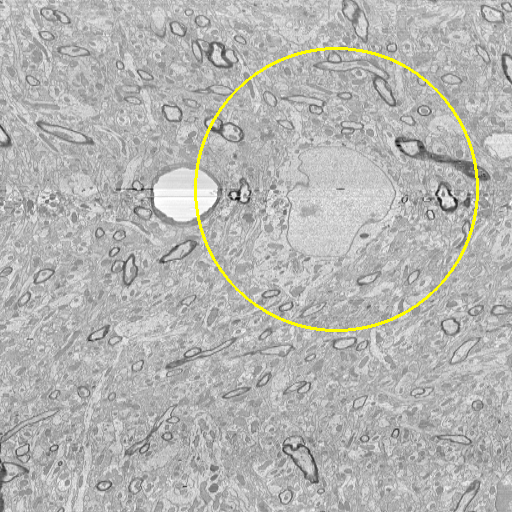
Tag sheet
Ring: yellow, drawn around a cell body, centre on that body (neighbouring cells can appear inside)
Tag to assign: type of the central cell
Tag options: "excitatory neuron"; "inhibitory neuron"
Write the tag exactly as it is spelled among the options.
excitatory neuron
